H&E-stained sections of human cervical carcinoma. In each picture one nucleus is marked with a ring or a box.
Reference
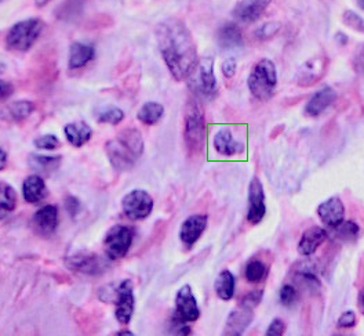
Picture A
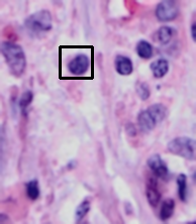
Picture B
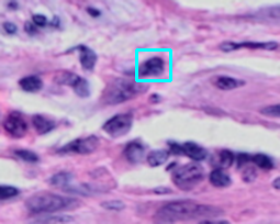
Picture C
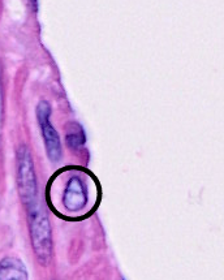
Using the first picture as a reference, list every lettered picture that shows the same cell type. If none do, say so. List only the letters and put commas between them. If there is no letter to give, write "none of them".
A, B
